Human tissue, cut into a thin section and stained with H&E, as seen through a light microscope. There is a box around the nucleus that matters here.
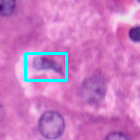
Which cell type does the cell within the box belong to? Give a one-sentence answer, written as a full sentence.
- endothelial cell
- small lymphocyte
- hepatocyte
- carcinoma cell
In this tissue sample, the cell within the box is an endothelial cell.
